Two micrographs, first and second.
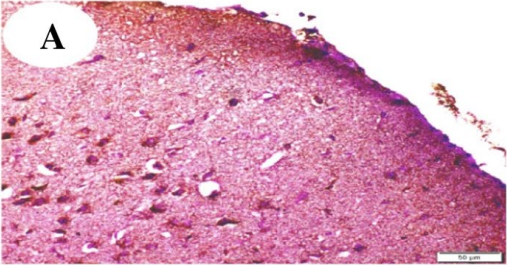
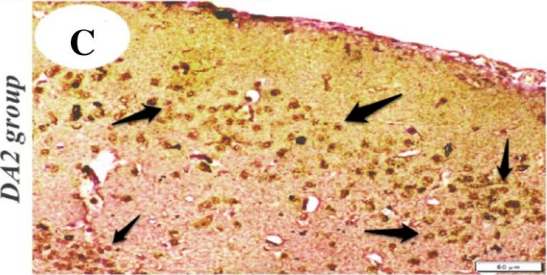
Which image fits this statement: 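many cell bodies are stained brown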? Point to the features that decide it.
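Second image: numerous dark brown cell bodies throughout a yellow-brown tissue. That points to this answer: the second image.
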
